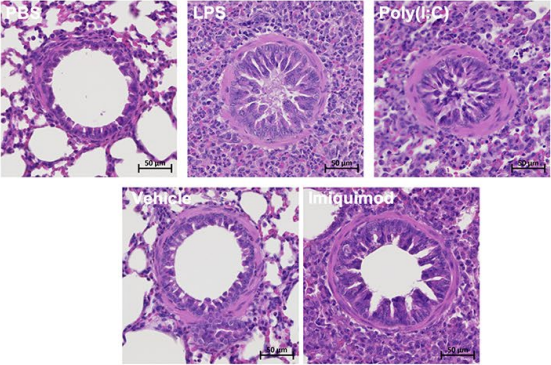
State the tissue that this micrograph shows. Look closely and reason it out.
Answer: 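A round tube lined by epithelium sits in the centre of each section. That points to this answer: lungs.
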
